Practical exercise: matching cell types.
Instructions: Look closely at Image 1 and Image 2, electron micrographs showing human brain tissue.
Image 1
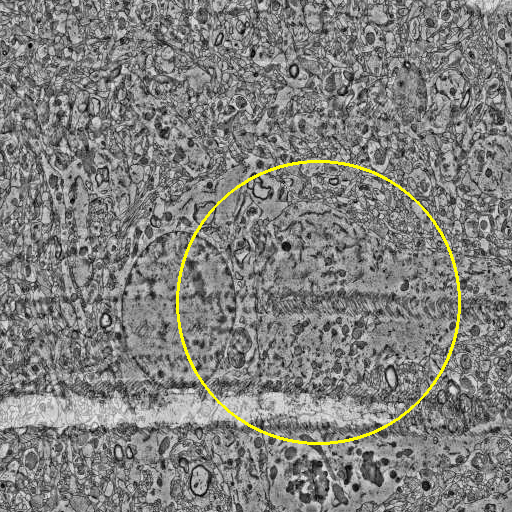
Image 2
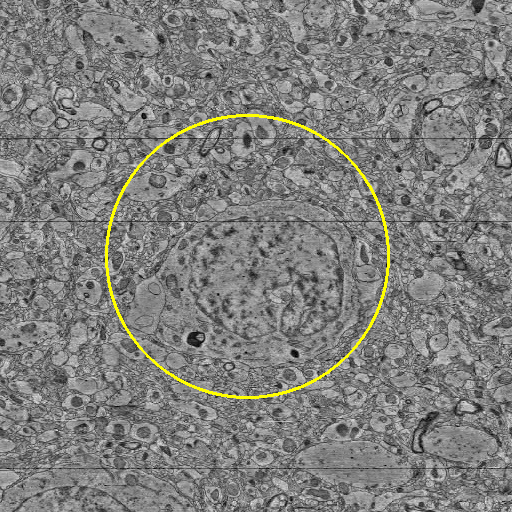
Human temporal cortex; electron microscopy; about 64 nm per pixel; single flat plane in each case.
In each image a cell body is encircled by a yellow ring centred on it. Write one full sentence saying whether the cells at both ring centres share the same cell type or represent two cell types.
Across Image 1 and Image 2, the cells at the ring centres represent two cell types.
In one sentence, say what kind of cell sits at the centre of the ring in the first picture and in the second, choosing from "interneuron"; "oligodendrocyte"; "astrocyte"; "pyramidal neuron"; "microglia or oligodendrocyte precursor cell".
The first picture's ringed cell is a pyramidal neuron, while the second picture's is an interneuron.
